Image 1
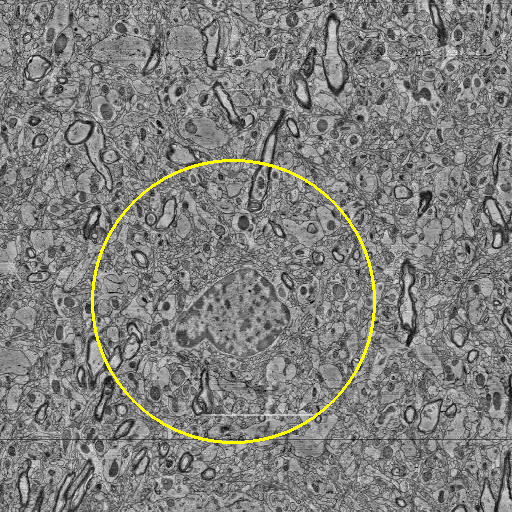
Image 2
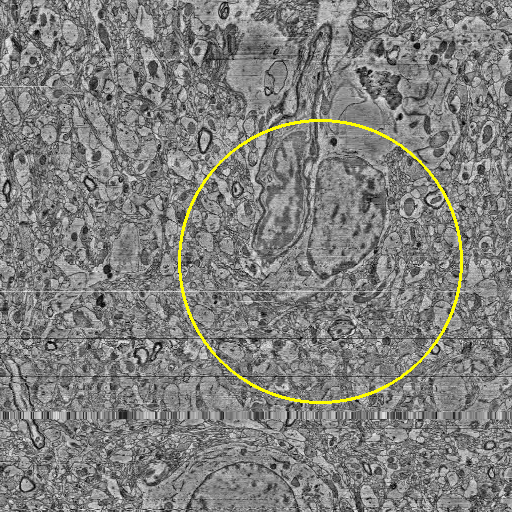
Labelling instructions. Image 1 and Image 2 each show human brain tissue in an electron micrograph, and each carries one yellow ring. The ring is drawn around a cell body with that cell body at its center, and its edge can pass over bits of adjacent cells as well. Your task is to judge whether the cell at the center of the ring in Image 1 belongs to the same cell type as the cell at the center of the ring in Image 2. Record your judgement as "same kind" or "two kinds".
same kind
